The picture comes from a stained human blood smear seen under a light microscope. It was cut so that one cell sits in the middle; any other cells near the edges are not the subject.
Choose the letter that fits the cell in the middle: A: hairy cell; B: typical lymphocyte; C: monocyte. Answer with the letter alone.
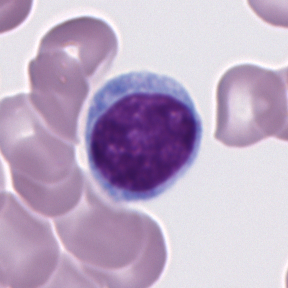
B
